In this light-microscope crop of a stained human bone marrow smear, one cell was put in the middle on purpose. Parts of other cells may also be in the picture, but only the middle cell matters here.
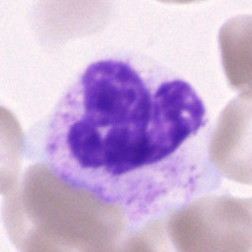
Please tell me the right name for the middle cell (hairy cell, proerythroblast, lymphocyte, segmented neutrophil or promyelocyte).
segmented neutrophil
